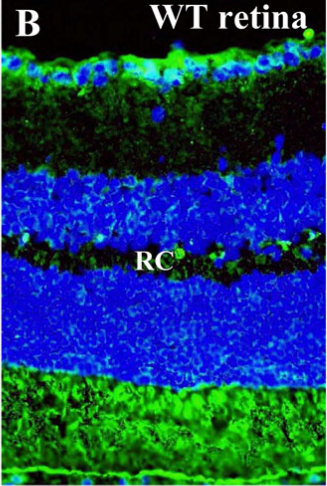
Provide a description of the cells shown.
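At the top, a thin row of blue nuclei marks the ganglion cell layer, which carries green label along the inner surface. Below it lies a broad dark band with fine green speckles, the inner plexiform layer. Next comes a band of densely packed blue nuclei, the inner nuclear layer. A thin dark outer plexiform band follows, where small bright green spots mark retinal capillaries. Beneath it is the thick outer nuclear layer of tightly packed nuclei. At the bottom, the photoreceptor inner and outer segments show strong green striated labelling, ending in a bright green line at the pigmented epithelium.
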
